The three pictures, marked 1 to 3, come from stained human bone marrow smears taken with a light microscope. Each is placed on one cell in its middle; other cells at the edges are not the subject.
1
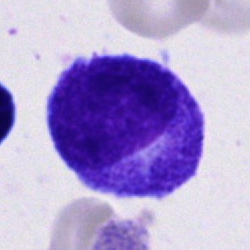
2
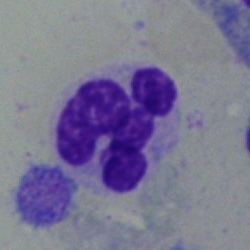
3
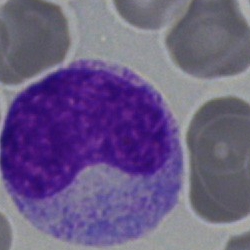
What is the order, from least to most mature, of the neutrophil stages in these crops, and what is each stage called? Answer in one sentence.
The least to most mature ordering of the crops is crop 1 (a promyelocyte), crop 3 (a metamyelocyte) and crop 2 (a segmented neutrophil).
